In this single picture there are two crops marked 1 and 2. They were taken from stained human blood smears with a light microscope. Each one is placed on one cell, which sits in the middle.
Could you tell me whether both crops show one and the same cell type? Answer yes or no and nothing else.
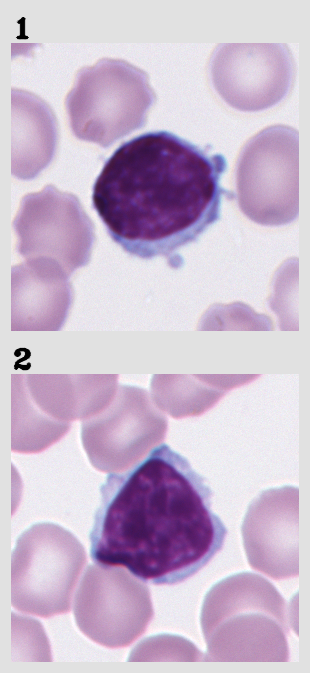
yes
